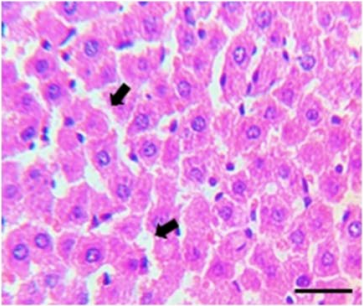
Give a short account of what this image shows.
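This is liver tissue with hepatocytes arranged in plates separated by sinusoids. The hepatocytes are polygonal with pink, finely granular cytoplasm and single central round nuclei with visible nucleoli. Narrow pale channels run between the plates of cells, and small dark elongated nuclei lie along them.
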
